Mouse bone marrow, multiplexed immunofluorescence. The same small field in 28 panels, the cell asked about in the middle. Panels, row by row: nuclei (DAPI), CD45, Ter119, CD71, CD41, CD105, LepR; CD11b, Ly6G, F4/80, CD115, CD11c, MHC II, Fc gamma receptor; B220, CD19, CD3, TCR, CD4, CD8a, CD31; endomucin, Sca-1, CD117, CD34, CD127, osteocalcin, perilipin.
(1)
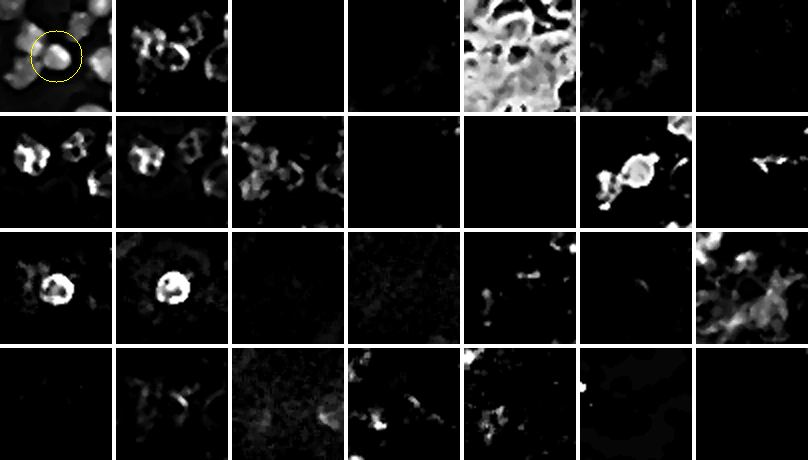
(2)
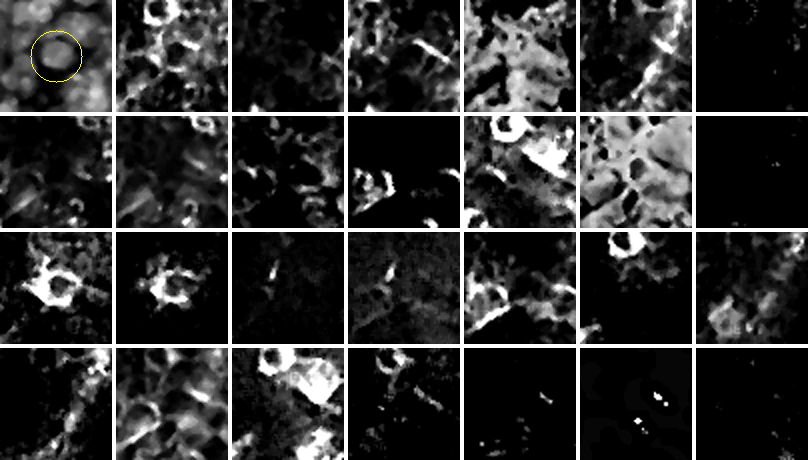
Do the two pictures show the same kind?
Yes, both are B cells.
